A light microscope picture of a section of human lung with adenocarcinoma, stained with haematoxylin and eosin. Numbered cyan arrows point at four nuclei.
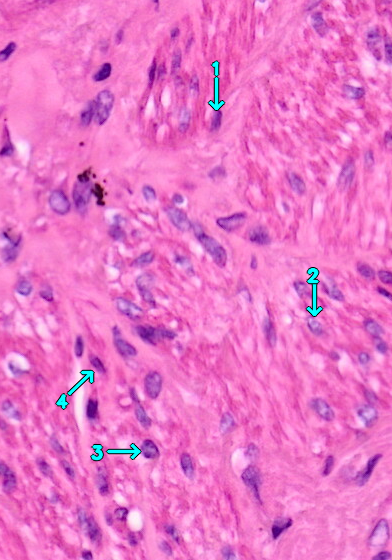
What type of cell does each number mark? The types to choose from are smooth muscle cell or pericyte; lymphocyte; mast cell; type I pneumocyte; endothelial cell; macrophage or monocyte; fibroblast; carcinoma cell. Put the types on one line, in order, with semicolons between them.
smooth muscle cell or pericyte; smooth muscle cell or pericyte; mast cell; smooth muscle cell or pericyte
